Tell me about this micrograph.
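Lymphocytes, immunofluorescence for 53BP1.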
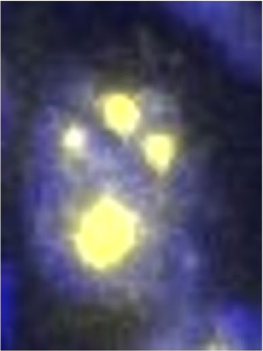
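A rounded blue nucleus holds a few bright yellow spots that are clearly bigger than pinpoint dots, one of them especially large and round. These are large nuclear foci.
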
